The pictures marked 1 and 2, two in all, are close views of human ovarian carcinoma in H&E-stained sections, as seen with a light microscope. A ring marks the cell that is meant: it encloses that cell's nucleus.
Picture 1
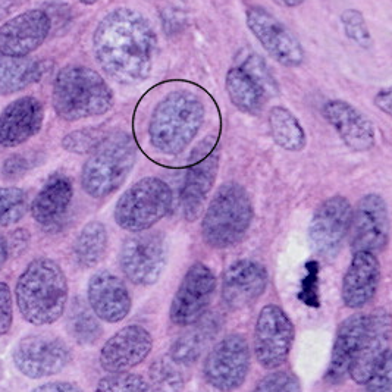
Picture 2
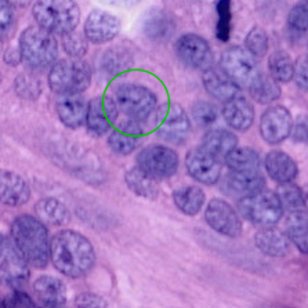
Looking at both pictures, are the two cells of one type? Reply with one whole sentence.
Yes, they are the same type: both are carcinoma cells.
